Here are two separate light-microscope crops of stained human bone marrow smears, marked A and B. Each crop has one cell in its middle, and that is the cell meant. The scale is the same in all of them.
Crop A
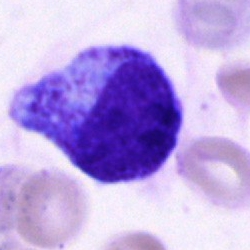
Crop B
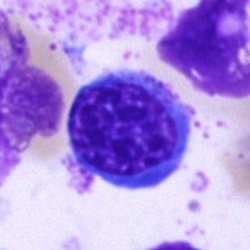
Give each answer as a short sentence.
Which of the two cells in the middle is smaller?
Smaller is the cell in crop B, and the other is about 1.5 times as large in area.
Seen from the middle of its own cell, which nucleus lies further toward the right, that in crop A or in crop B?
In crop A the nucleus is shifted more toward the right.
